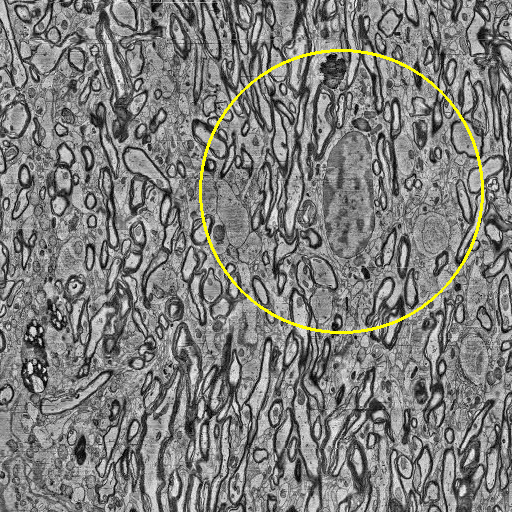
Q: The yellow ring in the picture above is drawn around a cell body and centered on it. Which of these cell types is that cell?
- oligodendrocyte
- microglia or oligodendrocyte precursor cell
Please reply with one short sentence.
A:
The cell body at the ring's center belongs to a microglial cell or oligodendrocyte precursor cell.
